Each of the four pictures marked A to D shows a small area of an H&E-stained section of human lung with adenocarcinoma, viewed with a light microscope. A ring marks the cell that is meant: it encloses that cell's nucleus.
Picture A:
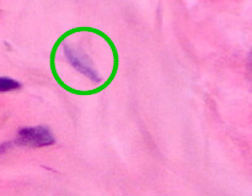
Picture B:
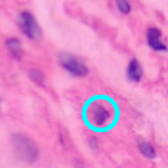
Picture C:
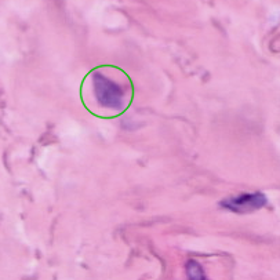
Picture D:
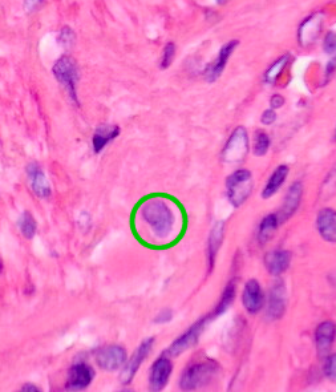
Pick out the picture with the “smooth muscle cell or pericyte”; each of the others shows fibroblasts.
B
